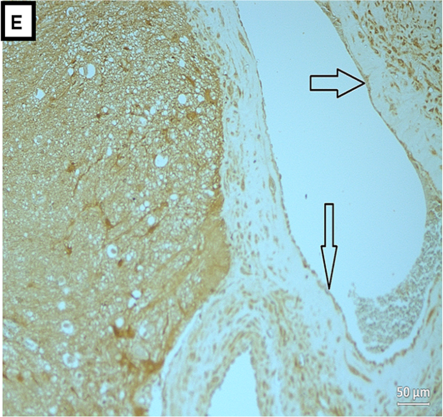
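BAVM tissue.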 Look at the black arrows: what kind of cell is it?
endothelial cells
